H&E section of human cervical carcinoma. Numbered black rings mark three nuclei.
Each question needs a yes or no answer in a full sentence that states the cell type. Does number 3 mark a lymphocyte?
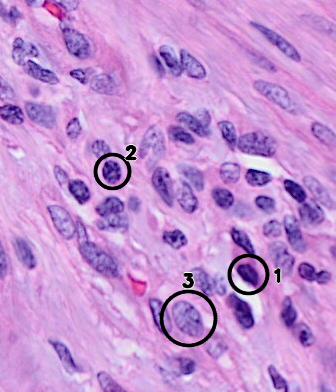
No, the cell bearing the number 3 is an endothelial cell, not a lymphocyte.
